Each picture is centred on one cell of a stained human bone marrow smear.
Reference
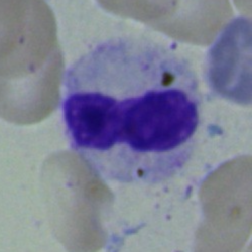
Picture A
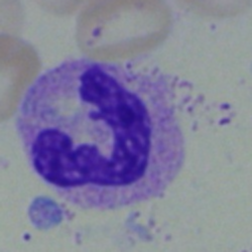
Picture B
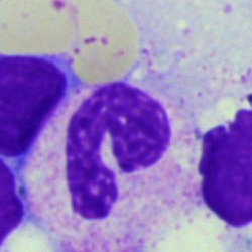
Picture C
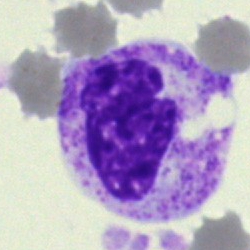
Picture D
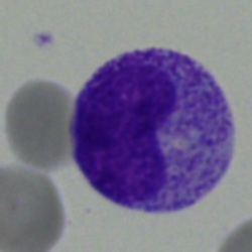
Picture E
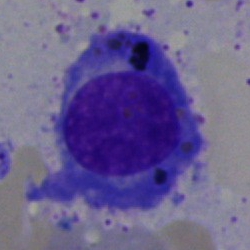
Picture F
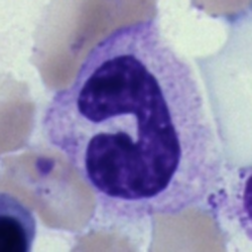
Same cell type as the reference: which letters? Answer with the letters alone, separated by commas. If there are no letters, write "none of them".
F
